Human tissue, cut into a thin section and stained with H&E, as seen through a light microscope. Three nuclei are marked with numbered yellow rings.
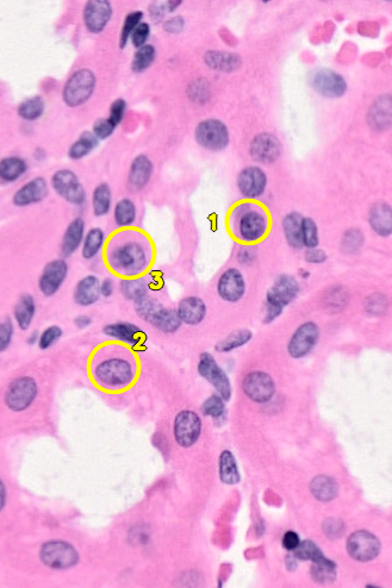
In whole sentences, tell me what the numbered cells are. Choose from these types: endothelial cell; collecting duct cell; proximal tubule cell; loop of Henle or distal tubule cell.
Cells 1 and 3 are collecting duct cells. Cell 2 is a proximal tubule cell.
